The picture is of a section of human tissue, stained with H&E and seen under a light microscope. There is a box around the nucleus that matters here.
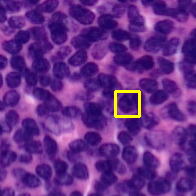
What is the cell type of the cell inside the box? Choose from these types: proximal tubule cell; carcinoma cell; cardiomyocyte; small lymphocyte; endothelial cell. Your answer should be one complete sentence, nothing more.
As to its cell type, the cell inside the box is a small lymphocyte.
